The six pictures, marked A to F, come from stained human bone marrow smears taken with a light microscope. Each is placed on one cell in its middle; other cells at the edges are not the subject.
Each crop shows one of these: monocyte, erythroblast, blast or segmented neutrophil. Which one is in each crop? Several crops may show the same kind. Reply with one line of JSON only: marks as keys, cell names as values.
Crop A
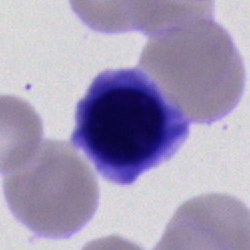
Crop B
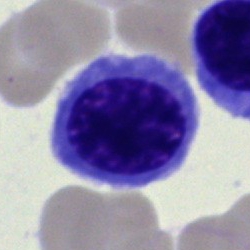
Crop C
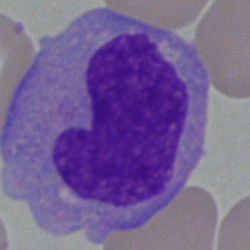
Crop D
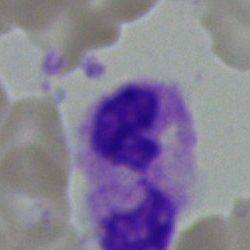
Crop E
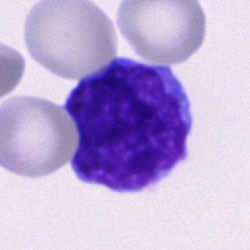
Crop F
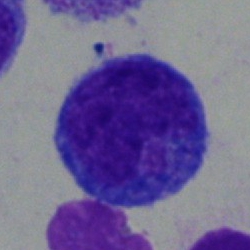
{"A": "erythroblast", "B": "erythroblast", "C": "monocyte", "D": "segmented neutrophil", "E": "blast", "F": "blast"}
